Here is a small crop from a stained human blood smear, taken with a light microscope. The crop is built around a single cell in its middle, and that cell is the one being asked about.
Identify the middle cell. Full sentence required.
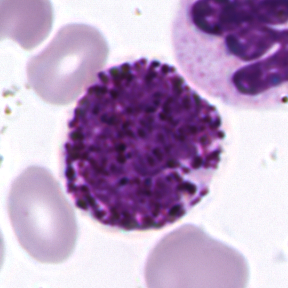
Where the crop is centred, there is a basophil.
